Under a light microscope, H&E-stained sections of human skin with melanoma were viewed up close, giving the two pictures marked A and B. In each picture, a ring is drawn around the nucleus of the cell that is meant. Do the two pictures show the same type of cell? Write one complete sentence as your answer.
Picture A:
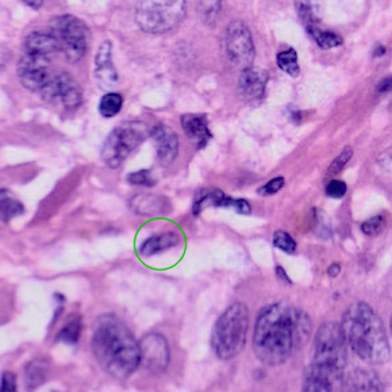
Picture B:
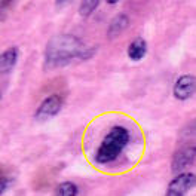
No, picture A shows a “macrophage or monocyte” and picture B shows a plasma cell.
